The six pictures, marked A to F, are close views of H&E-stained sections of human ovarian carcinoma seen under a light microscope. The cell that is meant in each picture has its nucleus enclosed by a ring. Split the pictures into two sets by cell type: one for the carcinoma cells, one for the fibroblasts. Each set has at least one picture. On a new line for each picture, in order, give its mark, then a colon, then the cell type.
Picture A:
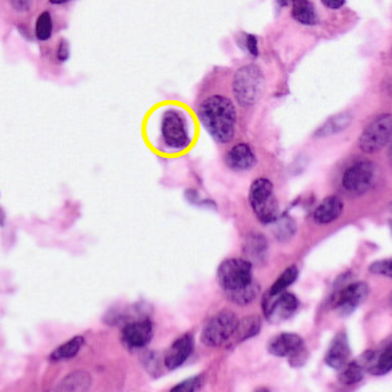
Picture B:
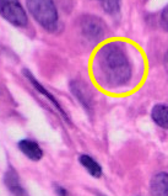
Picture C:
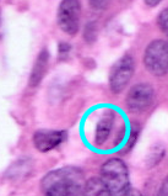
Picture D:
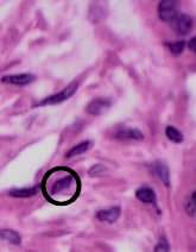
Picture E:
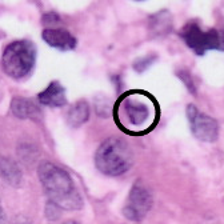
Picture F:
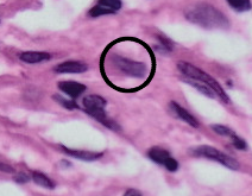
A: carcinoma cell
B: carcinoma cell
C: carcinoma cell
D: fibroblast
E: carcinoma cell
F: fibroblast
